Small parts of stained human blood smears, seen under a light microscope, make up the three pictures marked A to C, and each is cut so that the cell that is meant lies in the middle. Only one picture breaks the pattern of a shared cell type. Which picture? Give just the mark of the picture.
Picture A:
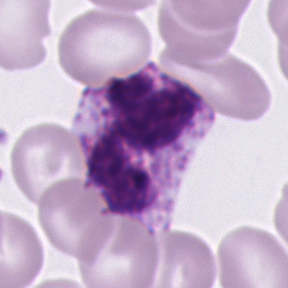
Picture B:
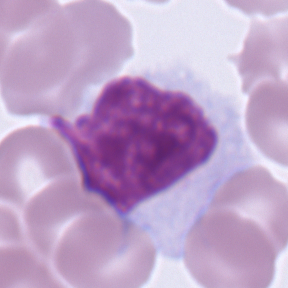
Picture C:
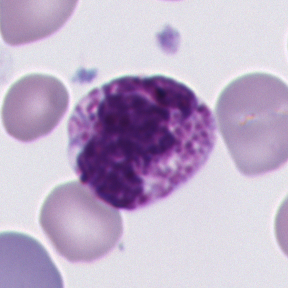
B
